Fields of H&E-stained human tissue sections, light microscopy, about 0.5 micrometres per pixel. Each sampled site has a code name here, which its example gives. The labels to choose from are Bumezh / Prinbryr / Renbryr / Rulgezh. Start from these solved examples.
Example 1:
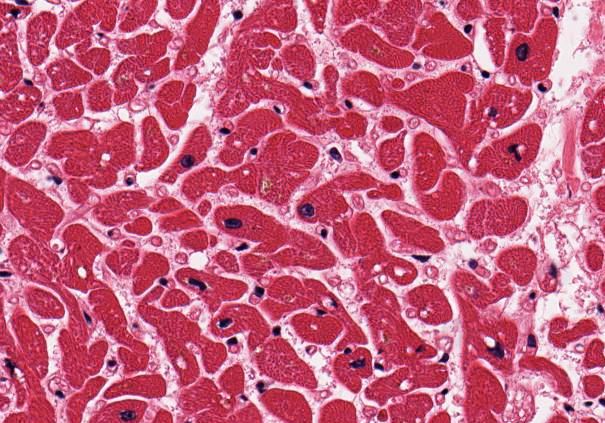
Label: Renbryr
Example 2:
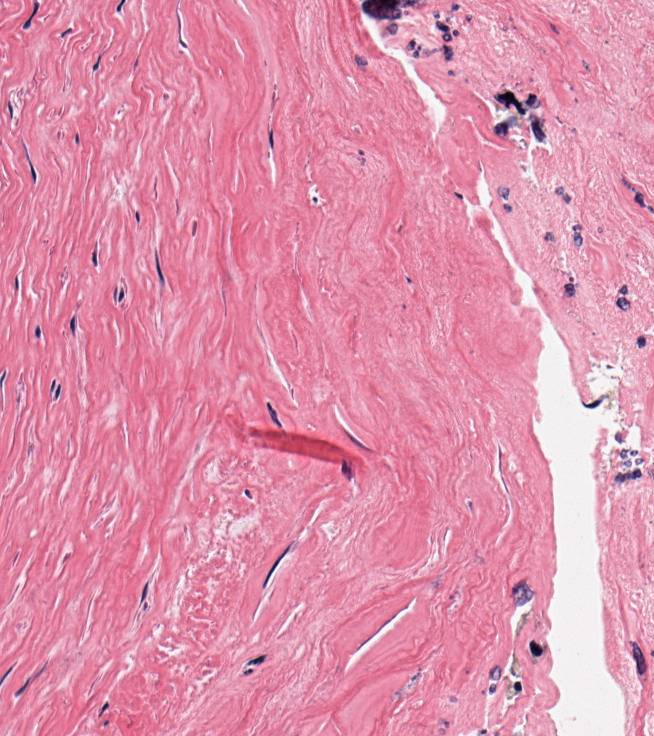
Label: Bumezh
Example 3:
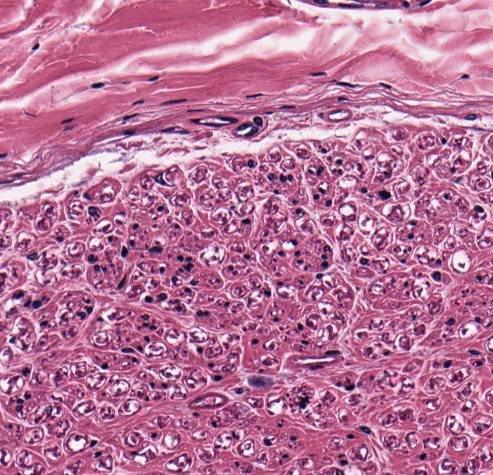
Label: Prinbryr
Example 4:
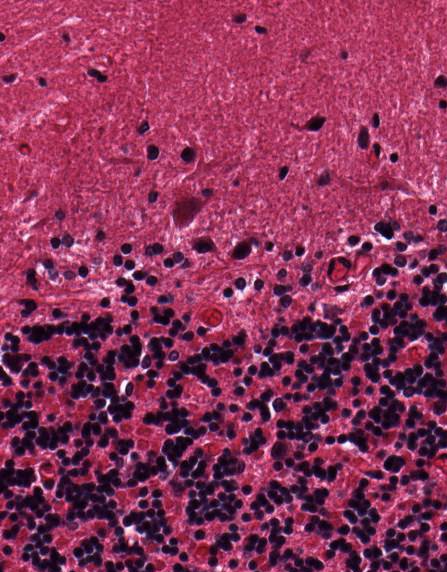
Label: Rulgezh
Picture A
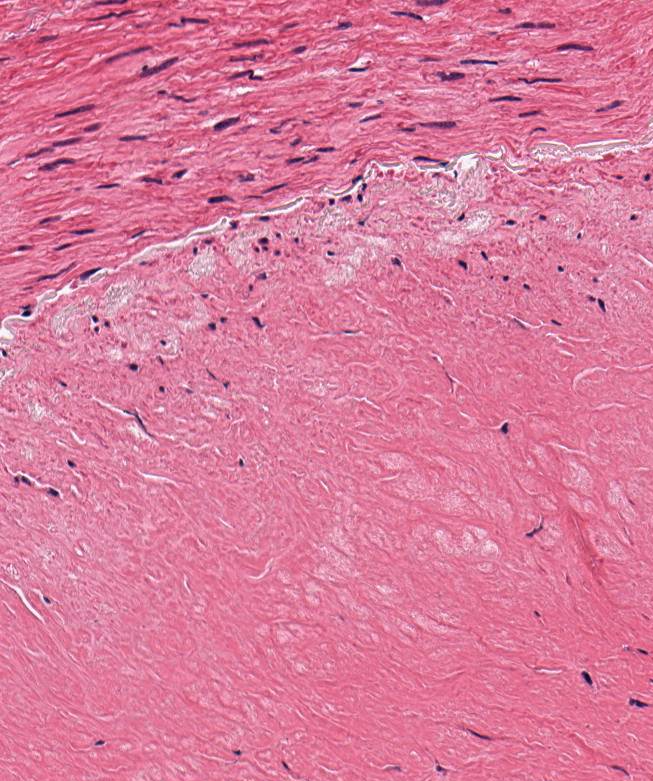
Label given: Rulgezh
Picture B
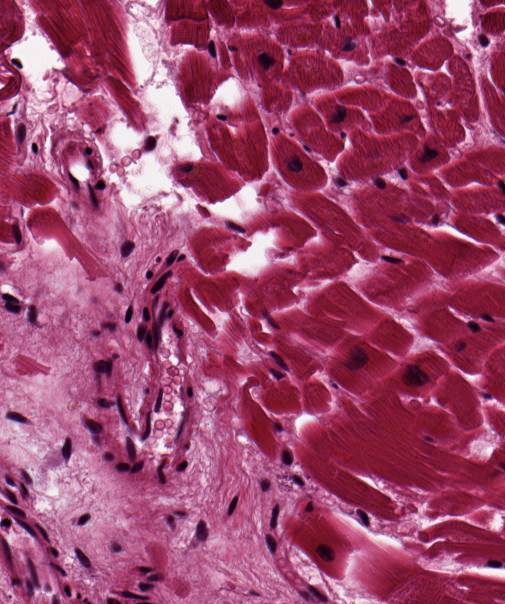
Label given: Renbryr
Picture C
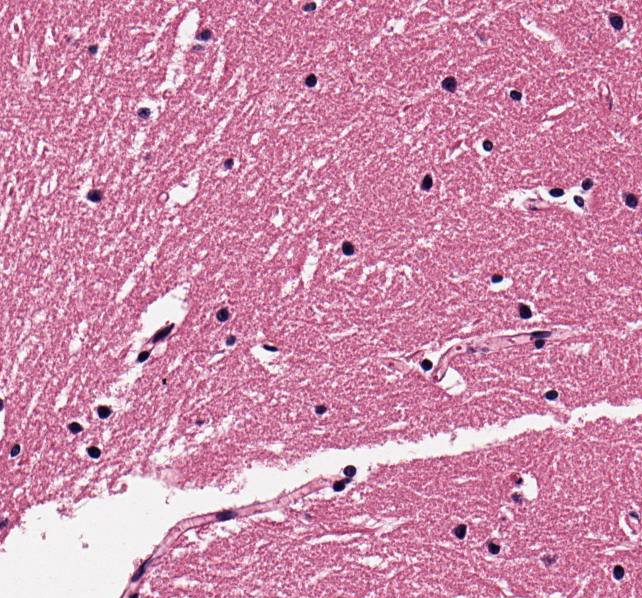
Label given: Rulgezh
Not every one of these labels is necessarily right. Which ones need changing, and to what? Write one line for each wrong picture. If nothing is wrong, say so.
A: change Rulgezh to Bumezh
